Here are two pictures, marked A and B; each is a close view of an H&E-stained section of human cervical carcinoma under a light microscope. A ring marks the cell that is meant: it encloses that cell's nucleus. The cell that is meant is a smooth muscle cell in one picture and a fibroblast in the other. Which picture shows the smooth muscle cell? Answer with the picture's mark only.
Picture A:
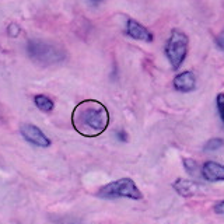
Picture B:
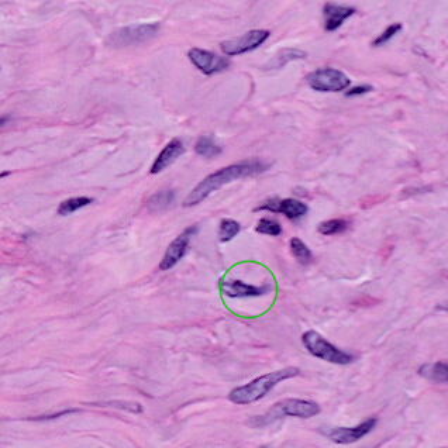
A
